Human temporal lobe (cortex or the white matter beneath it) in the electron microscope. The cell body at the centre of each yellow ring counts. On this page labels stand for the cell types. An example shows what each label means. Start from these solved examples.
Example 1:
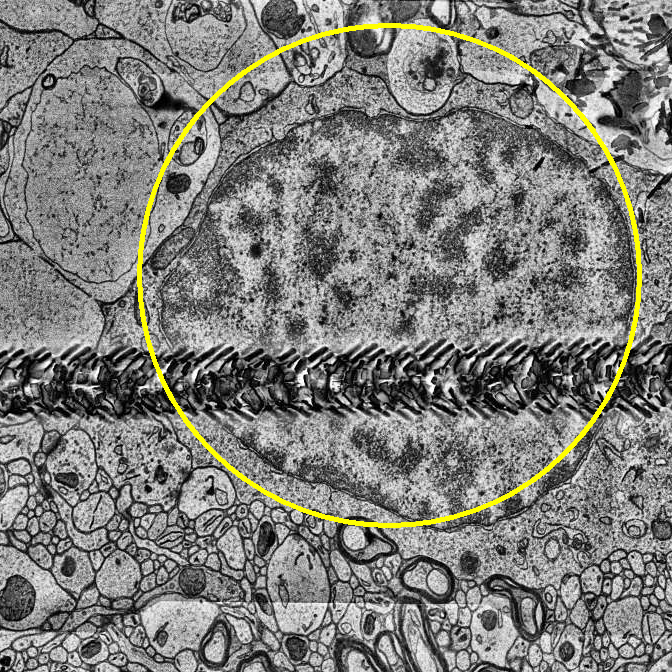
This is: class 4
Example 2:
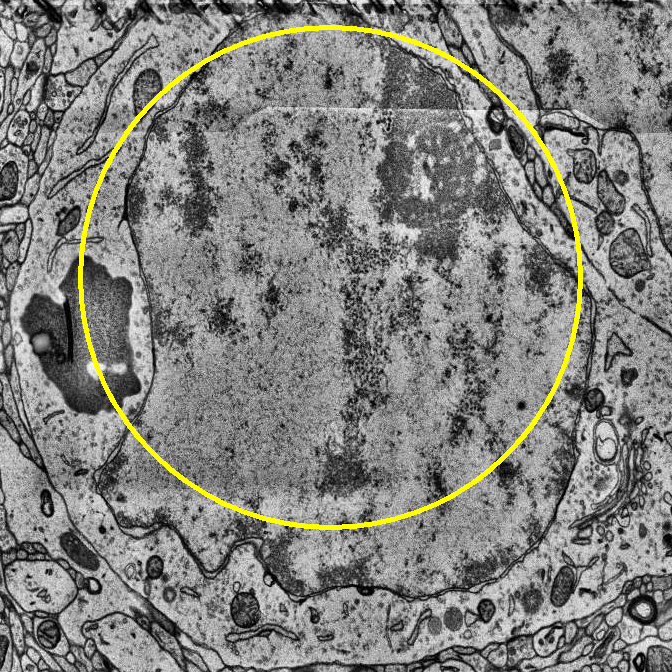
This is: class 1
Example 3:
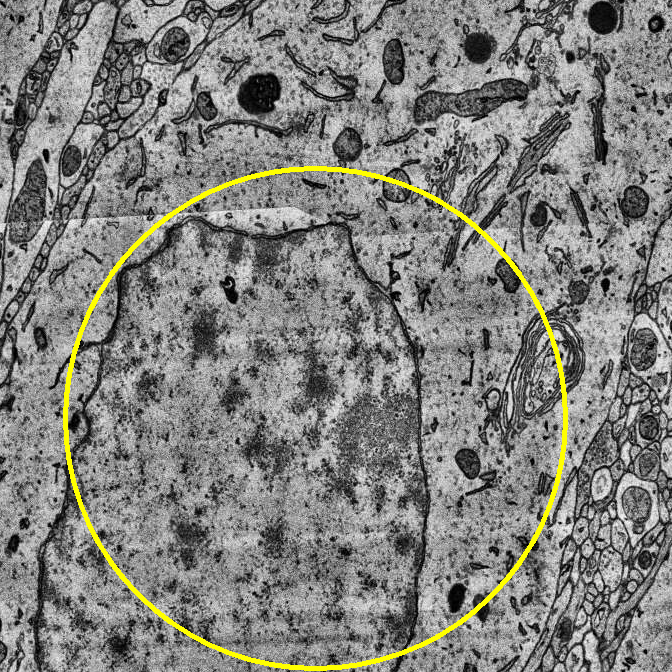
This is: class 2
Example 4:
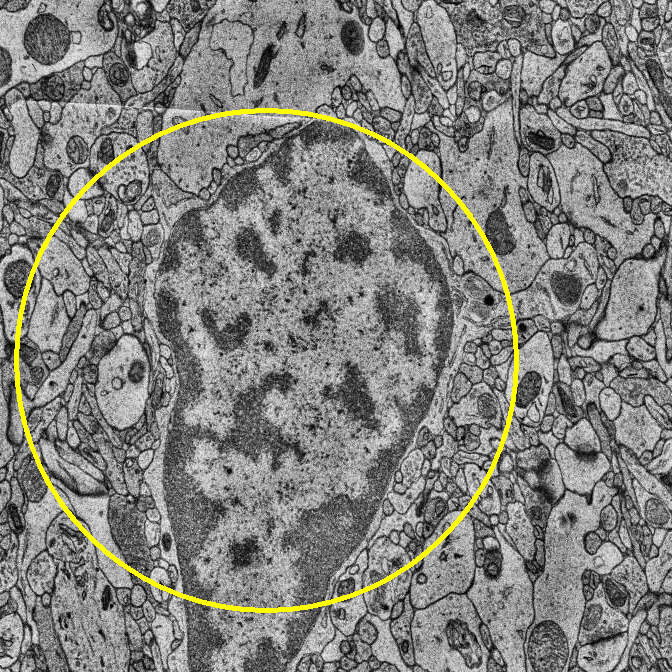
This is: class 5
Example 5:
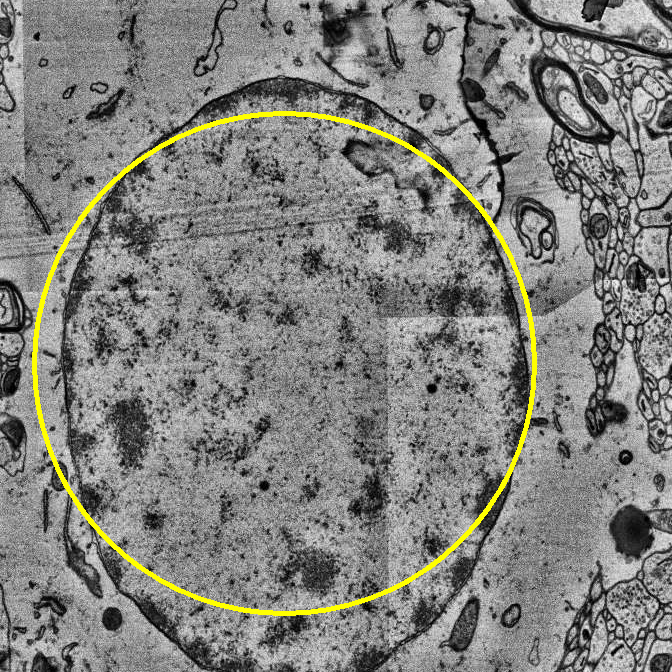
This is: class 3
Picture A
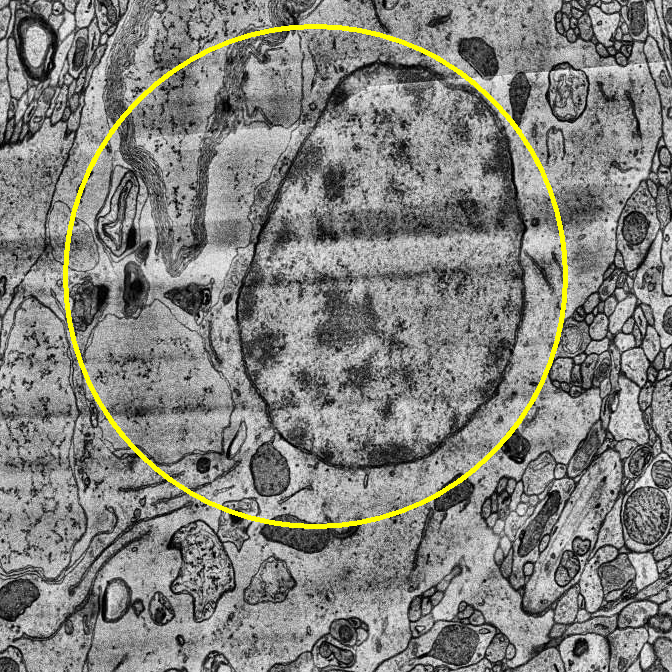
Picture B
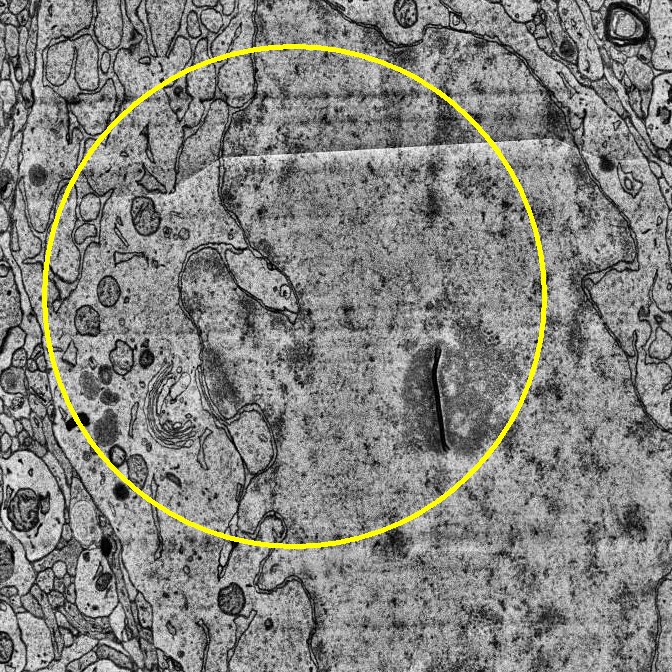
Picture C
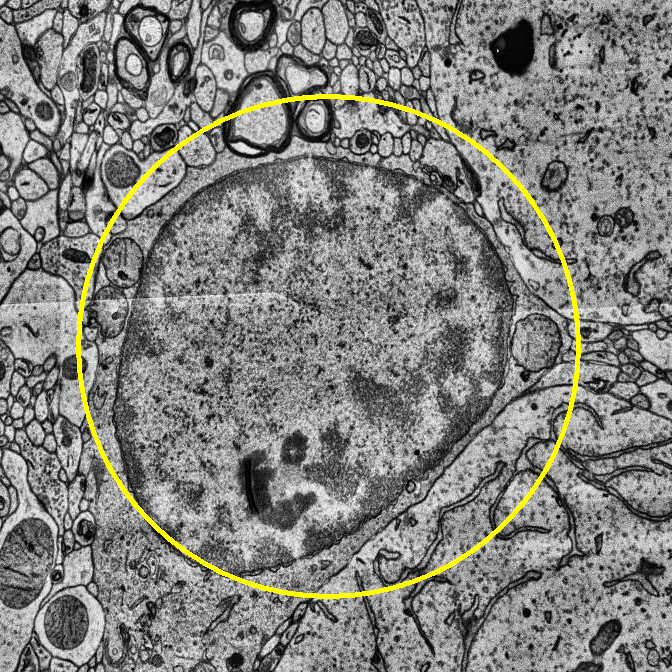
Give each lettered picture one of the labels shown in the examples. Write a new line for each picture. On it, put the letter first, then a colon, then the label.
A: class 3
B: class 1
C: class 4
